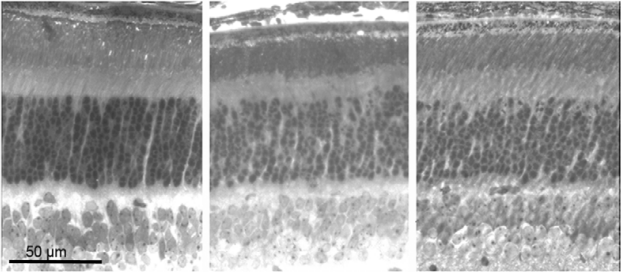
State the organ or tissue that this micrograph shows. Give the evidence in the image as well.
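Retina. Layered tissue with a thick band of densely packed dark round nuclei. A striated layer of elongated segments lies above the nuclear band. A second, looser nuclear layer lies below, separated by a pale plexiform band.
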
